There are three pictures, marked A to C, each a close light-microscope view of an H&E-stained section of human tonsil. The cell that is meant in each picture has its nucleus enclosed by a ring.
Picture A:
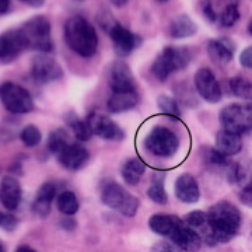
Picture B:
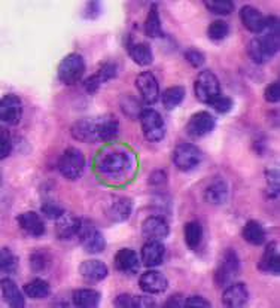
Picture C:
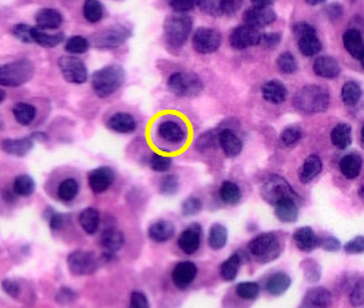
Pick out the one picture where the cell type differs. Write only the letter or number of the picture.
A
